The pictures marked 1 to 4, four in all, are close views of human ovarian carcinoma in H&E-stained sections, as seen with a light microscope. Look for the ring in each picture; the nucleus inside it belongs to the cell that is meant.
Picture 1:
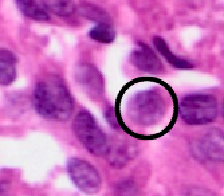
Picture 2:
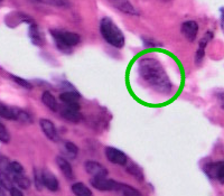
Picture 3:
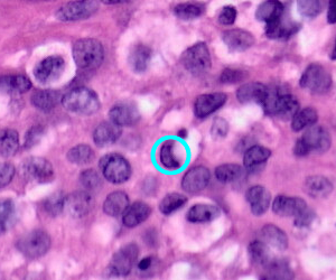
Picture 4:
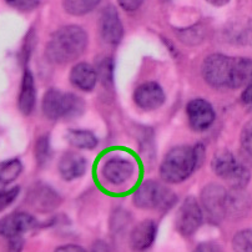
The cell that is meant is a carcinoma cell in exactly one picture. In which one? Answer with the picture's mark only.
1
